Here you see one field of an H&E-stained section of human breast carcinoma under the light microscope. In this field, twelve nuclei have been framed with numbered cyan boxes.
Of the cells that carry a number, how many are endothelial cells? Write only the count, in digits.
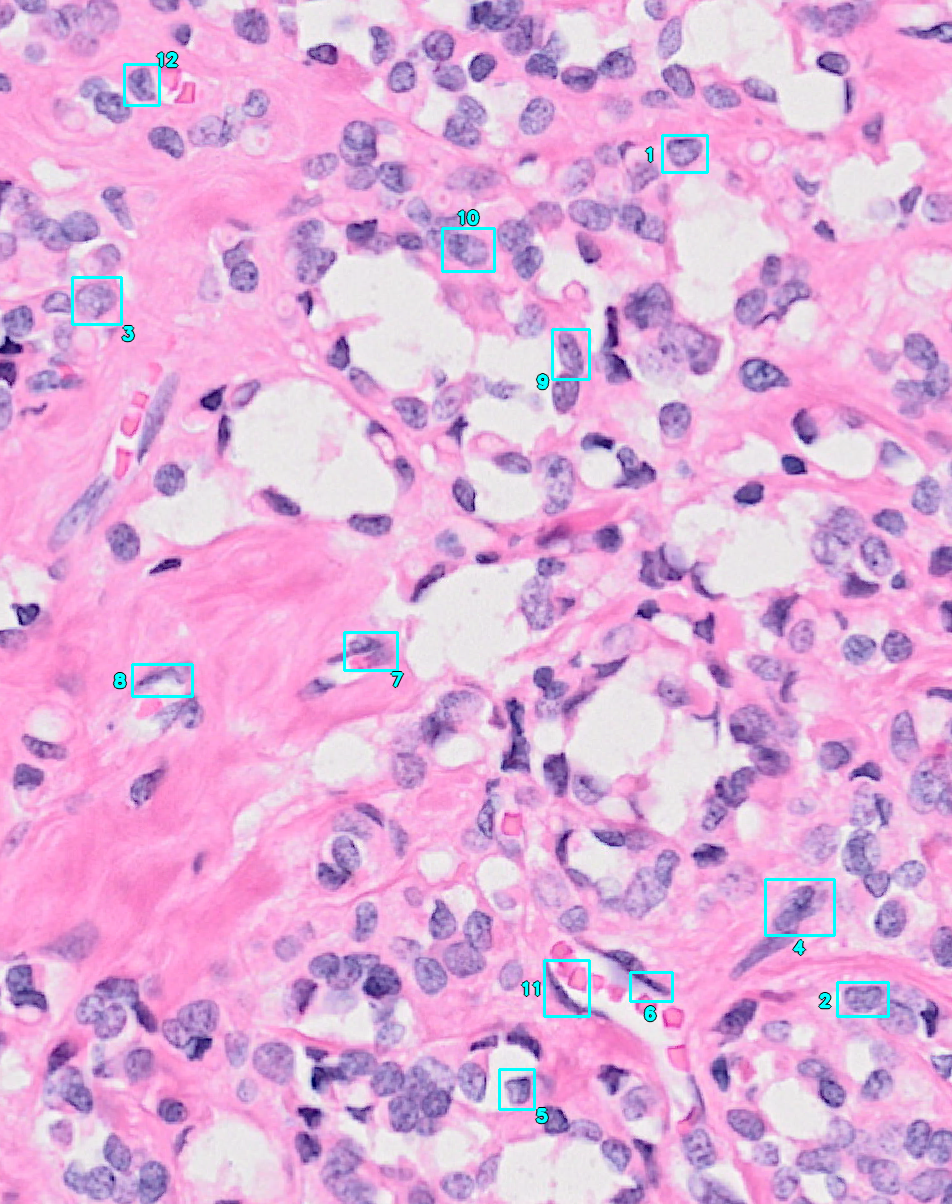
6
